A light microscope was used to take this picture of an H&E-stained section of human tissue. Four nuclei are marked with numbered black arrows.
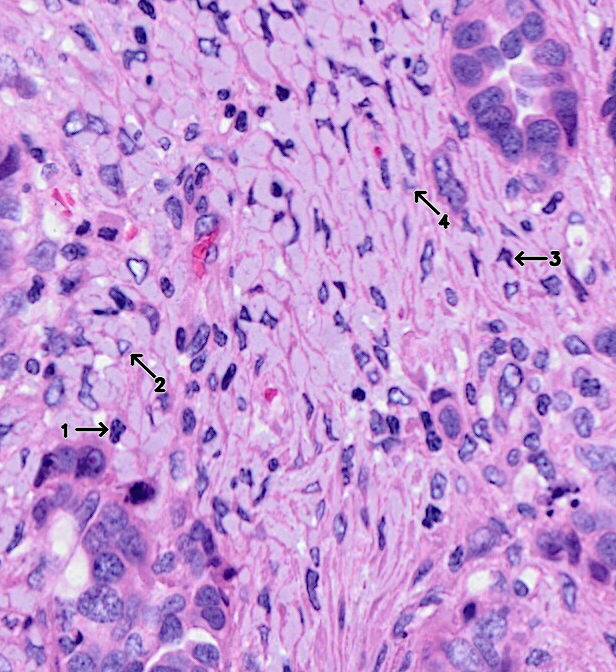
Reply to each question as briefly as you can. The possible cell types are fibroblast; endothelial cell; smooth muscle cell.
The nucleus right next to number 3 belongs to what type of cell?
fibroblast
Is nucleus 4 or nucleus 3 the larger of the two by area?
3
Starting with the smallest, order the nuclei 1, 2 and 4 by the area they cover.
4, 2, 1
